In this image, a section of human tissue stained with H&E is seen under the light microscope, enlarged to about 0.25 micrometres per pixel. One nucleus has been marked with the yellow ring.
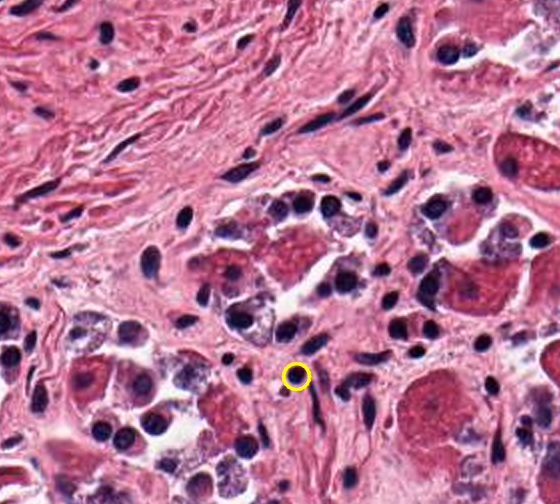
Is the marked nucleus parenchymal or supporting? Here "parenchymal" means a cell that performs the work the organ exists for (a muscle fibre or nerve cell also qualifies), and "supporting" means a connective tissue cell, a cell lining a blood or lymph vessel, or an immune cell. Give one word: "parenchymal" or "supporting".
supporting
